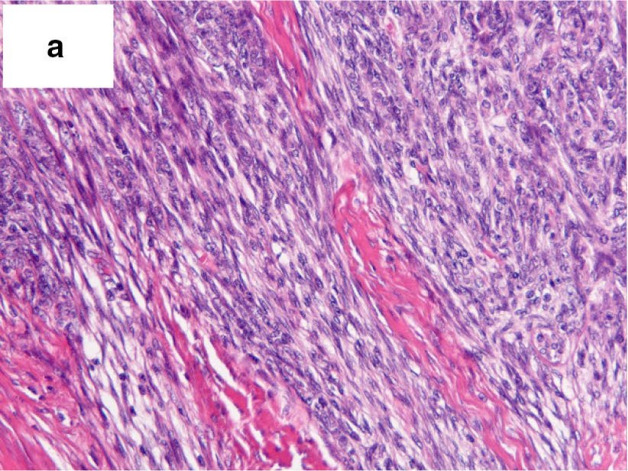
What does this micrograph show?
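Lymphocyte-poor tumor tissue made of oval to spindle-shaped neoplastic cells with elongated nuclei arranged in parallel fascicles. Thin bands of bright pink collagen run between the cell streams, and few small dark lymphocytes are seen.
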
